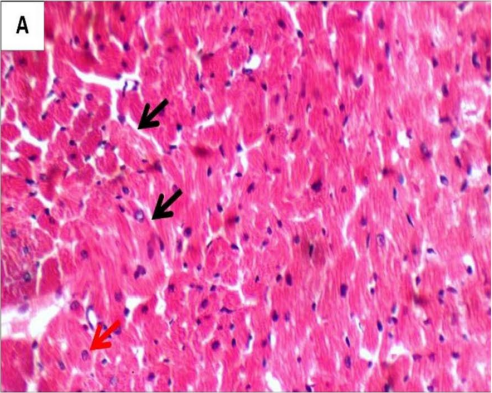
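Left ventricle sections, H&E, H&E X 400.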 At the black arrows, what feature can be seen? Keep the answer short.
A: Distinct cell borders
